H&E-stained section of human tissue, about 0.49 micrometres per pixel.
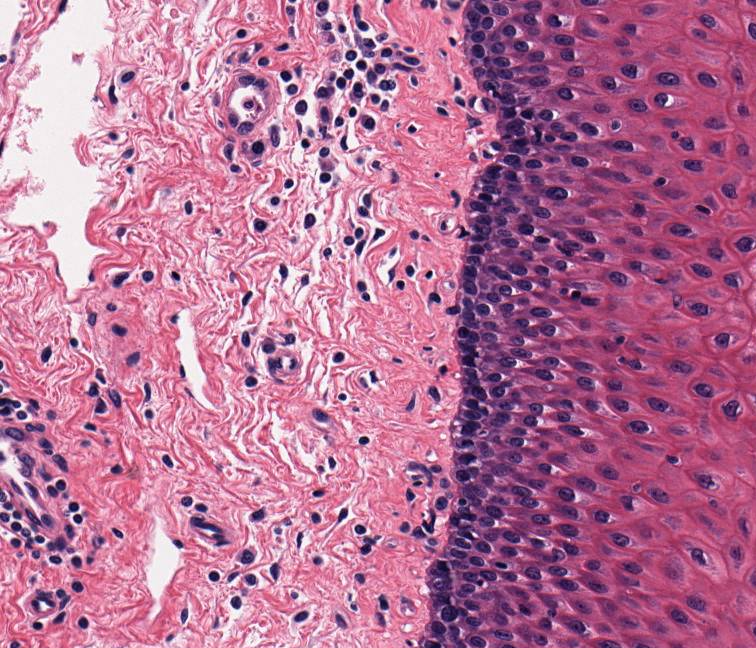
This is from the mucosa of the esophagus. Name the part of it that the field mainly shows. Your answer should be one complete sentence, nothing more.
The portion of tissue on this slide is called loose connective tissue.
